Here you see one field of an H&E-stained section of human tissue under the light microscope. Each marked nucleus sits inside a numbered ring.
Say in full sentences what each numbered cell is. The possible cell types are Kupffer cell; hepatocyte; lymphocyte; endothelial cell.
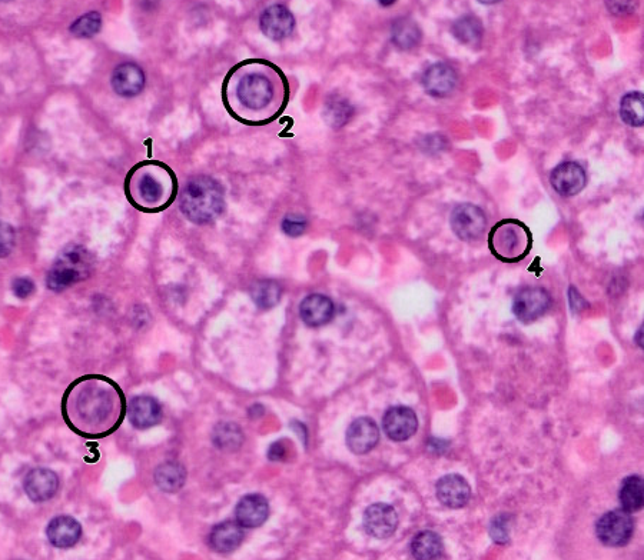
Cell 1 is a lymphocyte, cell 2 is a hepatocyte, cell 3 is a hepatocyte and cell 4 is a Kupffer cell.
